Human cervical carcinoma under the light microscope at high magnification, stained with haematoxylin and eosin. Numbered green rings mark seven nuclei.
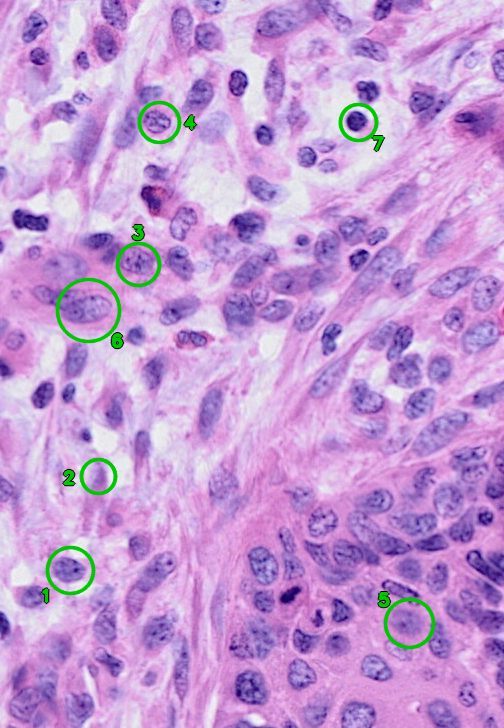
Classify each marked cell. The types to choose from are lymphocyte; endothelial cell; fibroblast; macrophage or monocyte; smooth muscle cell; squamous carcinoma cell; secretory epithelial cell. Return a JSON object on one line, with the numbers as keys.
{"1": "macrophage or monocyte", "2": "fibroblast", "3": "endothelial cell", "4": "macrophage or monocyte", "5": "squamous carcinoma cell", "6": "endothelial cell", "7": "lymphocyte"}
